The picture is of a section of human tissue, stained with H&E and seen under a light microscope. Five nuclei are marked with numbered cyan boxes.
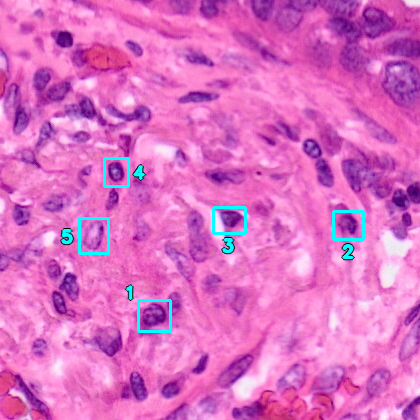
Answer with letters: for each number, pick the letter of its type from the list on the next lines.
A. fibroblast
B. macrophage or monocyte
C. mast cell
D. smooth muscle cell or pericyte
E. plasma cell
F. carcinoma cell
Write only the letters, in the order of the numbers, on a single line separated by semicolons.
E; E; E; C; B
